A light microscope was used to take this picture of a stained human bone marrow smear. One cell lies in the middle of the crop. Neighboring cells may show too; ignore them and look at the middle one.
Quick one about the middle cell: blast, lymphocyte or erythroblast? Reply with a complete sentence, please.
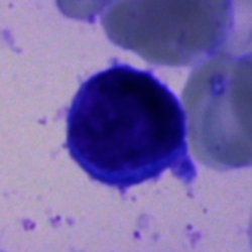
The cell that lies at the centre of the crop is a lymphocyte.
